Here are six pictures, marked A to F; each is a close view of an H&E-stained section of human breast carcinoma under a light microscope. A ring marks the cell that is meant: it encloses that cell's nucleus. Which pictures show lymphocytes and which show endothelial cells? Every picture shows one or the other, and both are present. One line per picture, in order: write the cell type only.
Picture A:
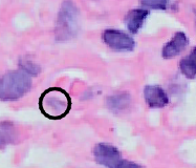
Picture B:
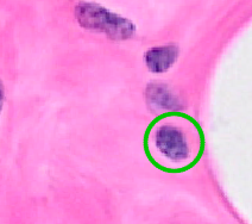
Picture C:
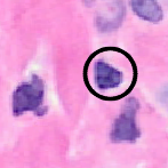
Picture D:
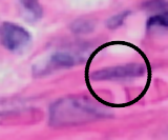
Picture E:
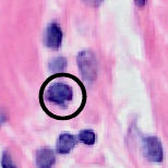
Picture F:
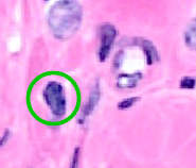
endothelial cell
lymphocyte
lymphocyte
endothelial cell
lymphocyte
lymphocyte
